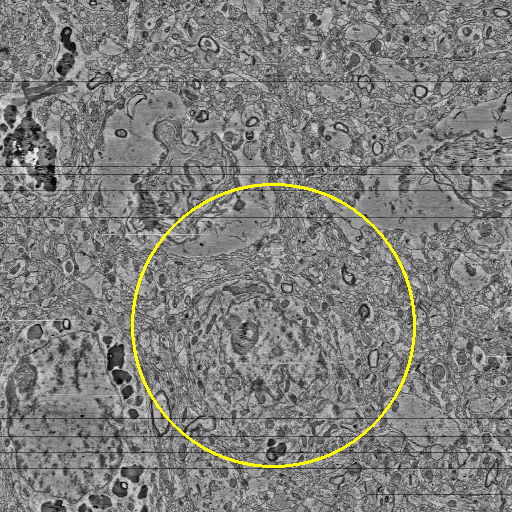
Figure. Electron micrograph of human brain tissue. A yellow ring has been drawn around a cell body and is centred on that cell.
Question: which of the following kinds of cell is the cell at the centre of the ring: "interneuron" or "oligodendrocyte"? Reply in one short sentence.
The cell at the centre of the ring is an interneuron.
